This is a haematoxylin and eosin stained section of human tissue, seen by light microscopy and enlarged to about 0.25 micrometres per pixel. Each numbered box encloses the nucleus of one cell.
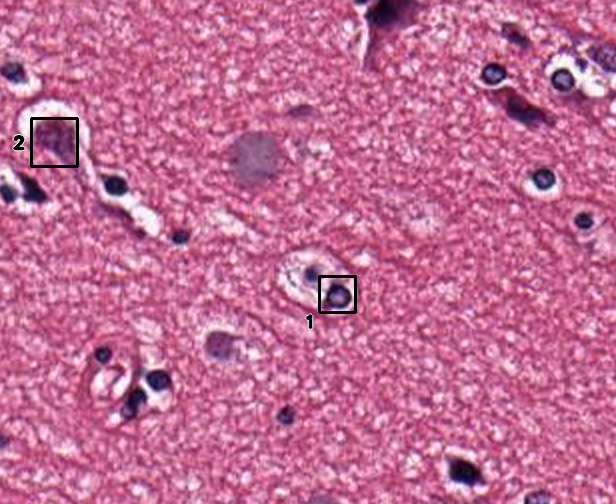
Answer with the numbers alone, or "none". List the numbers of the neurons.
2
